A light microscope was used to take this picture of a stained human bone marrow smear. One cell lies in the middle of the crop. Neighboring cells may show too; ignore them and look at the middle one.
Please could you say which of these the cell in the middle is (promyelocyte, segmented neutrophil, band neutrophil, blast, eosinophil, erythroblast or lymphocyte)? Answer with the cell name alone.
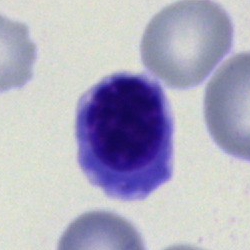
erythroblast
